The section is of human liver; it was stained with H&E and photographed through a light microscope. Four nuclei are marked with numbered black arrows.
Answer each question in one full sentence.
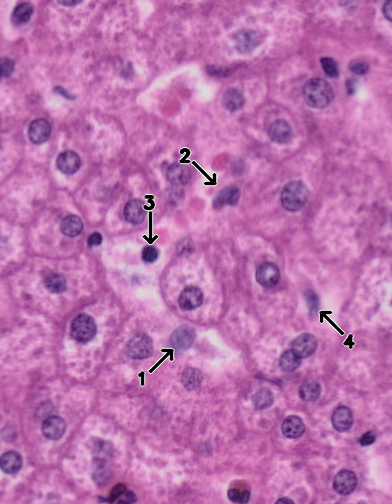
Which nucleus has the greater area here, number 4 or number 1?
Nucleus 1 covers more area, about 1.5 times as much as nucleus 4.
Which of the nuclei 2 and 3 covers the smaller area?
It is nucleus 3; nucleus 2 has about 2 times its area.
